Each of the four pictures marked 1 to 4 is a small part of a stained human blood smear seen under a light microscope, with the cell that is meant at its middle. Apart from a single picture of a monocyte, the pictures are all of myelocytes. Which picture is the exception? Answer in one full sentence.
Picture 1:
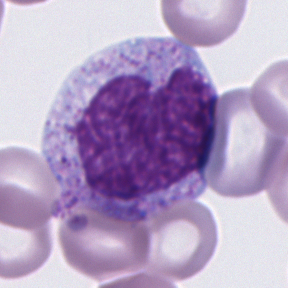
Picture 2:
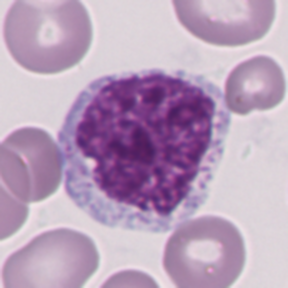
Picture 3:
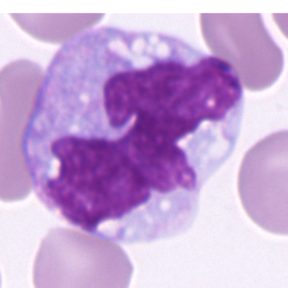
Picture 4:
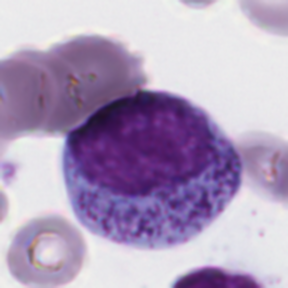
The monocyte is the one in picture 3.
